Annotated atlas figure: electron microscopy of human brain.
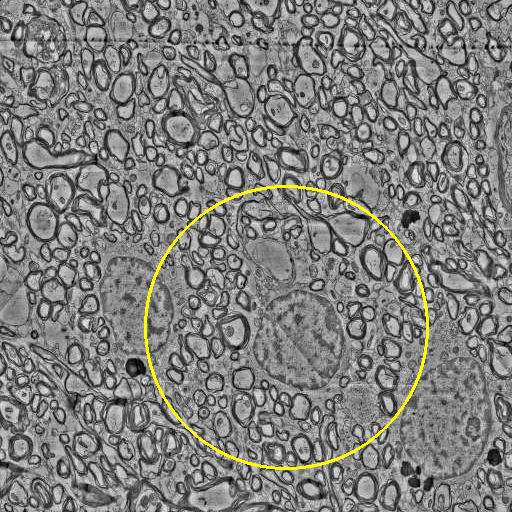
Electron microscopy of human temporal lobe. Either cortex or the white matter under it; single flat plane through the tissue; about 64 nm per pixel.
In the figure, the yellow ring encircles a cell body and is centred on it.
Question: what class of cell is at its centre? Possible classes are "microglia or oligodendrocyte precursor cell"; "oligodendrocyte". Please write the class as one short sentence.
The yellow ring is drawn around an oligodendrocyte.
